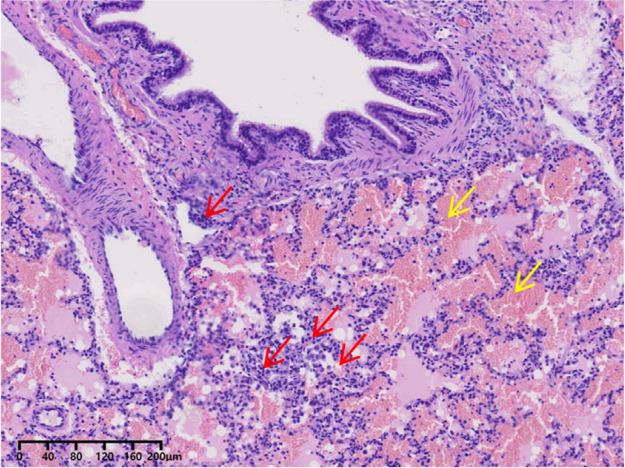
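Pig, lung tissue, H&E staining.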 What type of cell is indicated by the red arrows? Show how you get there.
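The arrows point to dense clusters of small cells with round, dark purple nuclei. That points to this answer: inflammatory cells.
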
